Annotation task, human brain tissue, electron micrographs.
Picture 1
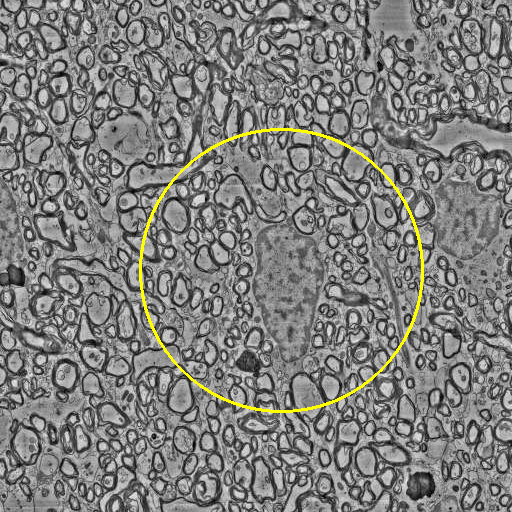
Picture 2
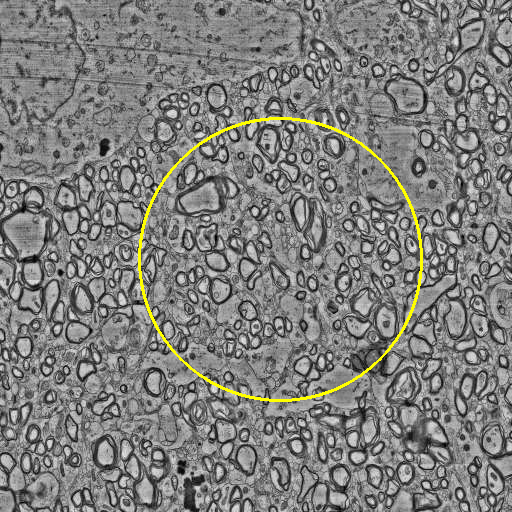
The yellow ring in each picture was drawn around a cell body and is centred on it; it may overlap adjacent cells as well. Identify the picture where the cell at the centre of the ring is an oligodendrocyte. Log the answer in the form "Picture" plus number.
Picture 1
